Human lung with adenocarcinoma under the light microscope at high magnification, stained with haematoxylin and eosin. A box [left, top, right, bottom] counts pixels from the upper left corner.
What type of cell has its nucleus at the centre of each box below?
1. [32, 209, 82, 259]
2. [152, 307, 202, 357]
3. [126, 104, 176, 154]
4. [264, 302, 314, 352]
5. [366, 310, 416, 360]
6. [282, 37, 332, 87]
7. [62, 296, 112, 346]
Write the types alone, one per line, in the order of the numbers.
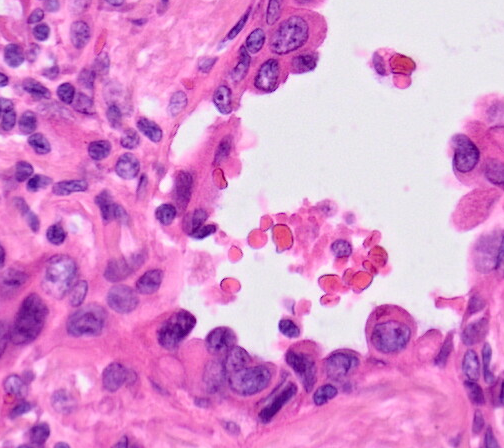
lymphocyte
carcinoma cell
lymphocyte
lymphocyte
carcinoma cell
carcinoma cell
carcinoma cell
